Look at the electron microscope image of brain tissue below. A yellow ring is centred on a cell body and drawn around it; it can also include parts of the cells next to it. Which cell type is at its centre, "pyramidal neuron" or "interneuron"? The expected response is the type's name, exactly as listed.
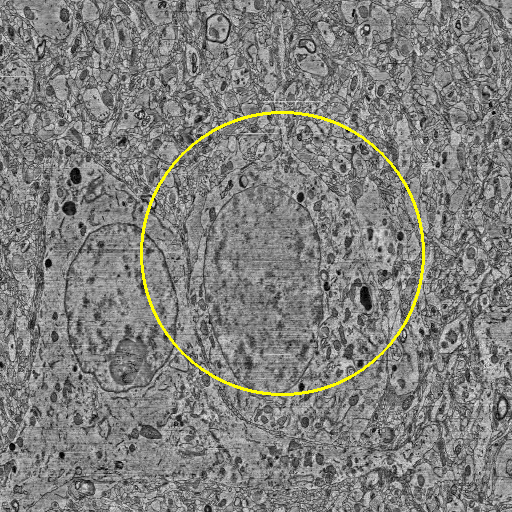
interneuron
